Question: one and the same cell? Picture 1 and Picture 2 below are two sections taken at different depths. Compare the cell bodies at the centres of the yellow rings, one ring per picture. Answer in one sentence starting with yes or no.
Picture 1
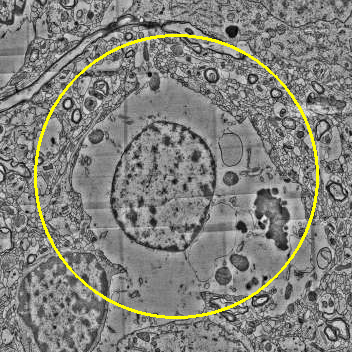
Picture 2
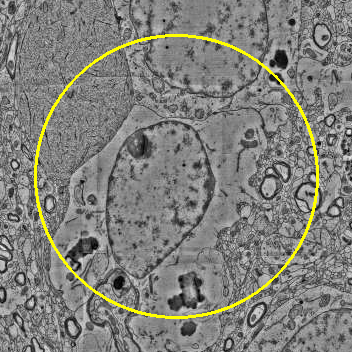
No, the cells within these rings are two separate cells.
